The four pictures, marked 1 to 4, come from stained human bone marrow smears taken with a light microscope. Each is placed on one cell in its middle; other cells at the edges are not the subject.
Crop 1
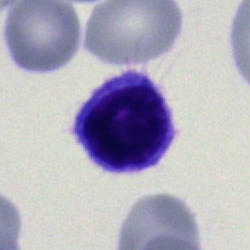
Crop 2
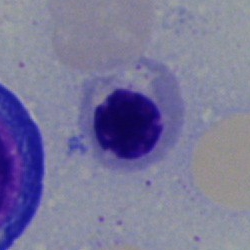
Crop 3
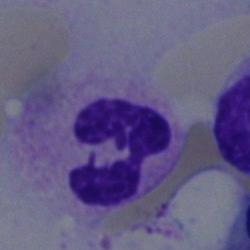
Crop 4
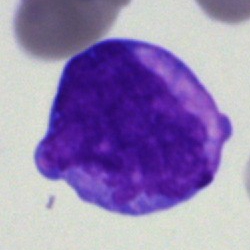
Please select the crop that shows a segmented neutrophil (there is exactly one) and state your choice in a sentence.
The one that shows a segmented neutrophil is crop 3.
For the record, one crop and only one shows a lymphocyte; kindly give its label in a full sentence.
Within this set, crop 1 is the one with a lymphocyte at its center.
